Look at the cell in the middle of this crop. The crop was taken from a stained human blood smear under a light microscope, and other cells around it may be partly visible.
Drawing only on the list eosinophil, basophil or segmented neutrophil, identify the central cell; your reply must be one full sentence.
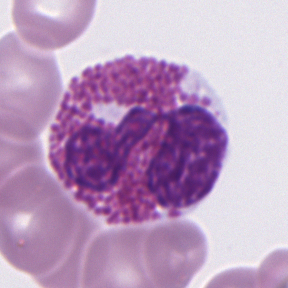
At the crop's centre, the cell is an eosinophil.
